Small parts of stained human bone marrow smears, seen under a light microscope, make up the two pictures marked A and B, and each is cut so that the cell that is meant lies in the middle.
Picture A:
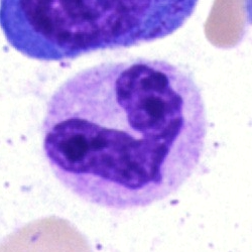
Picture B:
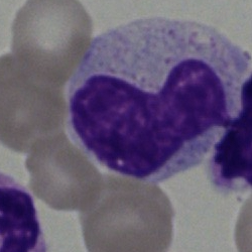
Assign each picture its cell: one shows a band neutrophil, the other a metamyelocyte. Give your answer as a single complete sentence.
Picture A is of a band neutrophil, and picture B is of a metamyelocyte.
